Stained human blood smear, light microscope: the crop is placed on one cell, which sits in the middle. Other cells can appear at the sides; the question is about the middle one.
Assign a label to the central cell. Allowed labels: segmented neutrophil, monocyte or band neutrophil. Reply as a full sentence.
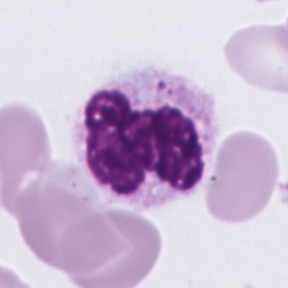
The middle position in this crop is taken by a segmented neutrophil.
